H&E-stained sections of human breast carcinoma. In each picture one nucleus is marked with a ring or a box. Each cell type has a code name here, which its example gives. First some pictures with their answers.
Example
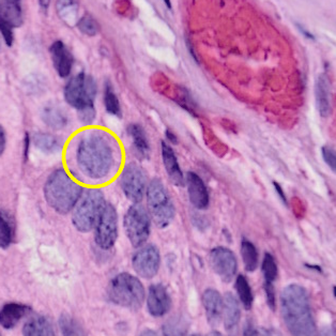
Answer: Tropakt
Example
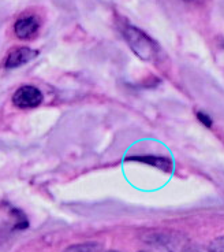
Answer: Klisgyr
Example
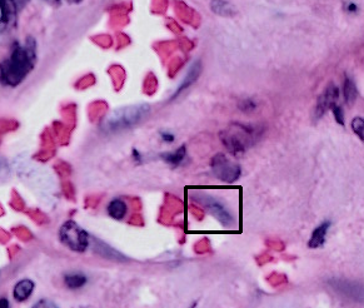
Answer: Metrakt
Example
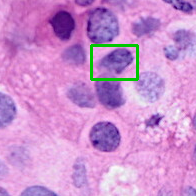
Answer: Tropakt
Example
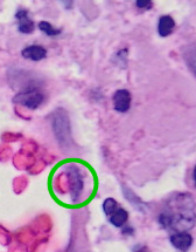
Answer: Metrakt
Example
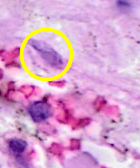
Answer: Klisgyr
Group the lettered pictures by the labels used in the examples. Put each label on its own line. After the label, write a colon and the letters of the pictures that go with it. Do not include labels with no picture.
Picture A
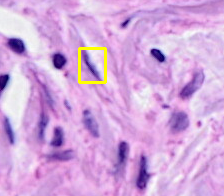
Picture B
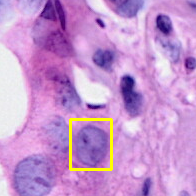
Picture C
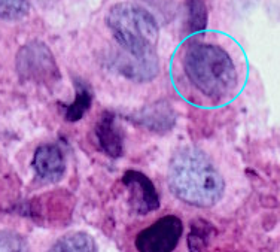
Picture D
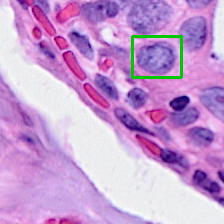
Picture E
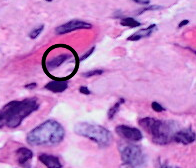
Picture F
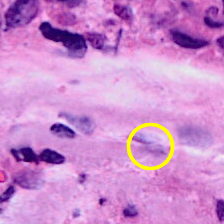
Tropakt: B, C, D
Klisgyr: A, F
Metrakt: E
